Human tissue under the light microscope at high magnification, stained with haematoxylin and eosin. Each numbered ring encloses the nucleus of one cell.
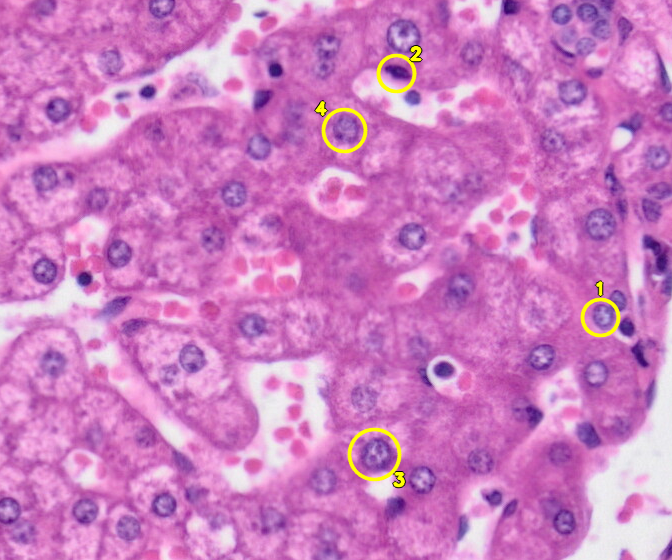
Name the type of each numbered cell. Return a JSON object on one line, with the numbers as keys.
{"1": "cholangiocyte", "2": "fibroblast or stellate cell", "3": "hepatocyte", "4": "hepatocyte"}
